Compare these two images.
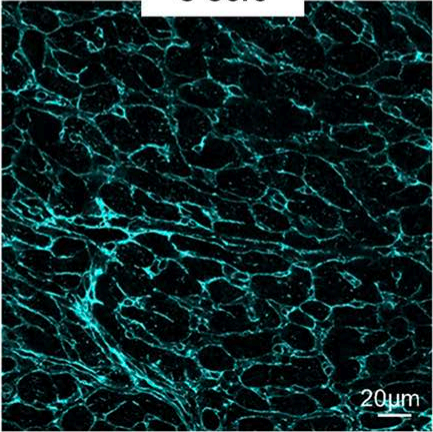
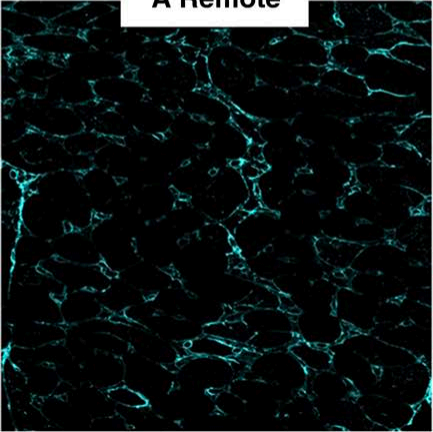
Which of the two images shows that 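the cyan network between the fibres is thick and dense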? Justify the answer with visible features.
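First image: bright, thick cyan strands surround every fibre and form coarse bundles. Second image: thin, fainter cyan outlines with wide dark spaces. The answer: the first image.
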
